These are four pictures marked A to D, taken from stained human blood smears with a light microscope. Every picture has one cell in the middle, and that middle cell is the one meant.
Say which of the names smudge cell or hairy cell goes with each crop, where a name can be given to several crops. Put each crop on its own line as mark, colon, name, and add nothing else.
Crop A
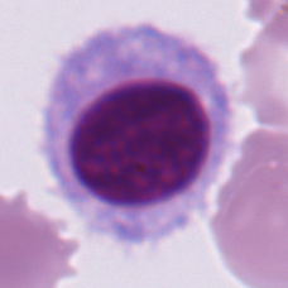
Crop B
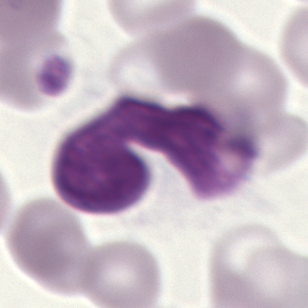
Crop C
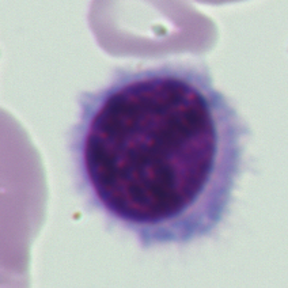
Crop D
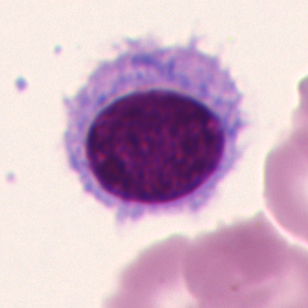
A: hairy cell
B: smudge cell
C: hairy cell
D: hairy cell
